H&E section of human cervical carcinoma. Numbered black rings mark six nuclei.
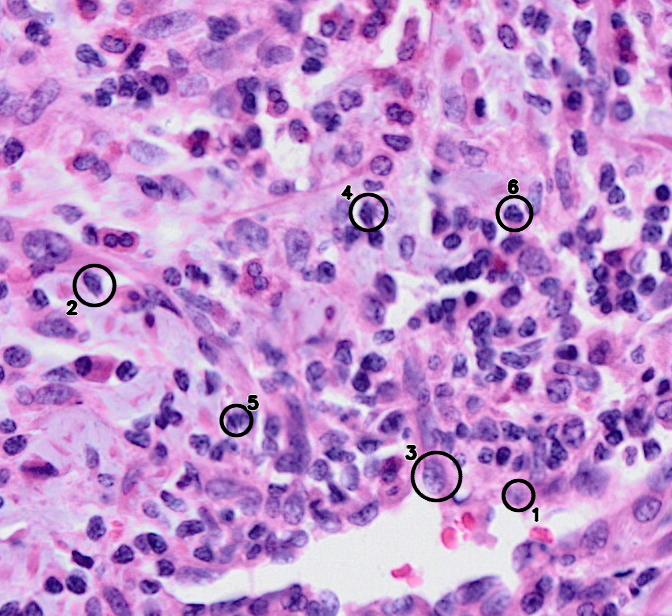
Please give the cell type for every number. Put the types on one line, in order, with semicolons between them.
endothelial cell; lymphocyte; endothelial cell; lymphocyte; lymphocyte; lymphocyte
